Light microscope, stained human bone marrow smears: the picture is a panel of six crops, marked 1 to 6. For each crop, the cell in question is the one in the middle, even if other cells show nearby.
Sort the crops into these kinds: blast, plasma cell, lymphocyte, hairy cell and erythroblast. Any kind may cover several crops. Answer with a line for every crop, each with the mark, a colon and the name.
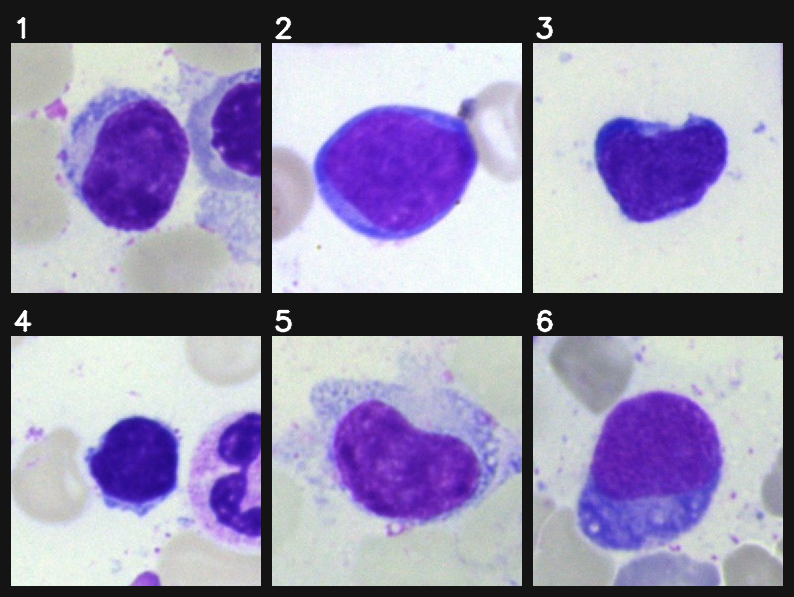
1: hairy cell
2: blast
3: blast
4: lymphocyte
5: hairy cell
6: blast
